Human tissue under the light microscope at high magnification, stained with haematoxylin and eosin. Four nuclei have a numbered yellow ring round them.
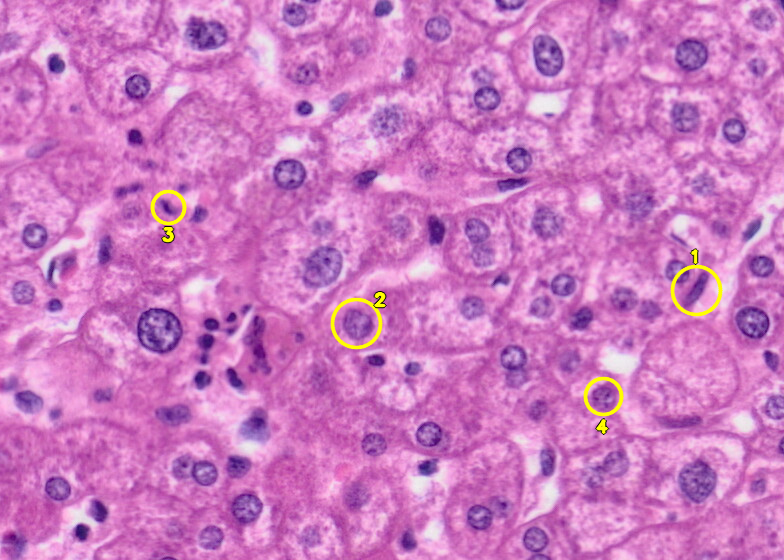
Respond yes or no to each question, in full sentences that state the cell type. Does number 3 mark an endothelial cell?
Yes, correct, the cell with the number 3 is an endothelial cell.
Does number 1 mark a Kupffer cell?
Yes, in this section the cell with number 1 is a Kupffer cell.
